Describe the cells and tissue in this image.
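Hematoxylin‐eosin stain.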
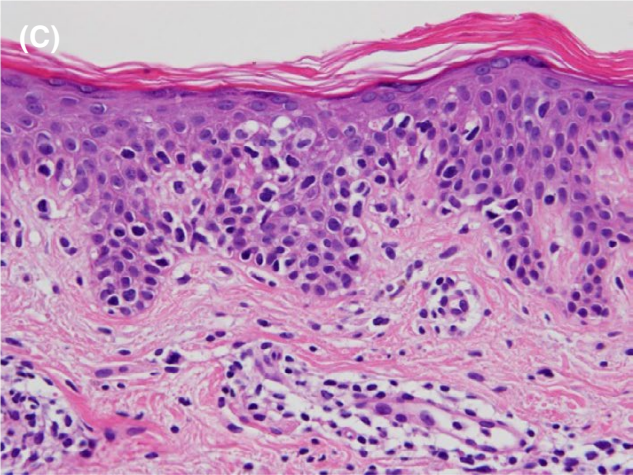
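This section of skin shows the epidermis and upper dermis, with small, atypical, lymphocyte‐like cells scattered within the epidermis. A thin, pink, layered horny layer covers an epidermis of keratinocytes with pale pink cytoplasm and oval nuclei. Among the keratinocytes, especially in the lower layers, lie single small cells with dark, dense nuclei, many surrounded by a clear halo. Below the wavy junction, the upper dermis consists of pink collagen with scattered small dark cells and small vessels.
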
